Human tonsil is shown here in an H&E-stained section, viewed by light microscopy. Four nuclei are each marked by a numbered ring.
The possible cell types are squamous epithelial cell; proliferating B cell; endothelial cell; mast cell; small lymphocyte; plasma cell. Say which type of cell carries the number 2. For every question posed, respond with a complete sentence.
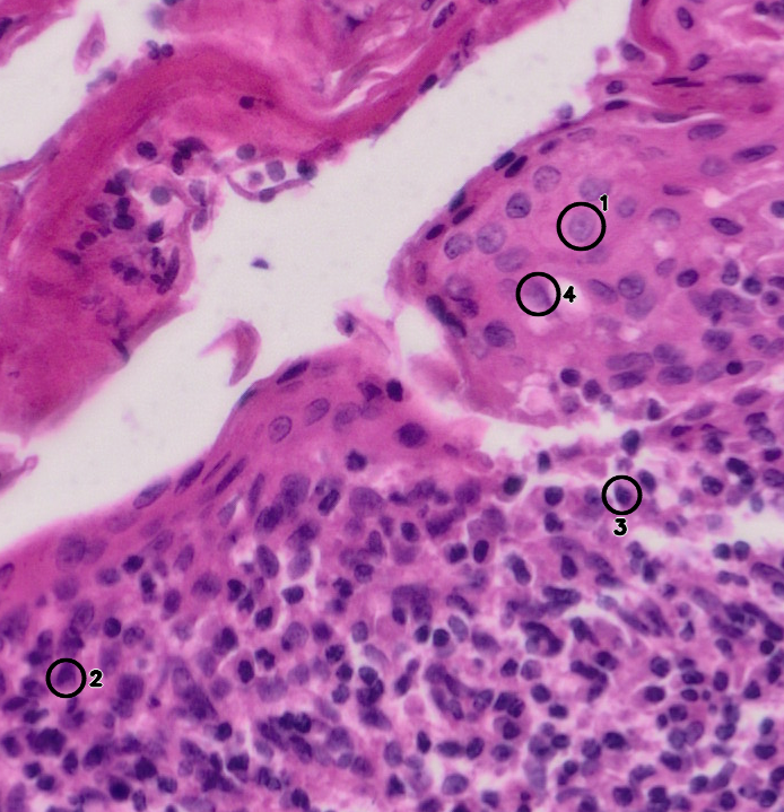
Cell 2 in the field is a squamous epithelial cell.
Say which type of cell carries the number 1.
The cell to which the number 1 is assigned is a squamous epithelial cell.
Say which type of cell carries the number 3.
Belonging to a plasma cell is the nucleus that carries the number 3.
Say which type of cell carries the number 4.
Cell 4 should be recorded as a squamous epithelial cell.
